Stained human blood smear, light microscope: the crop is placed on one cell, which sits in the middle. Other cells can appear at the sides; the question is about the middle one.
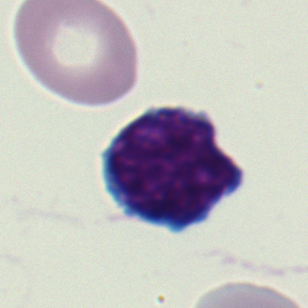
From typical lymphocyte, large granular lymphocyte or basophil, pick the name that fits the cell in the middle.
typical lymphocyte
